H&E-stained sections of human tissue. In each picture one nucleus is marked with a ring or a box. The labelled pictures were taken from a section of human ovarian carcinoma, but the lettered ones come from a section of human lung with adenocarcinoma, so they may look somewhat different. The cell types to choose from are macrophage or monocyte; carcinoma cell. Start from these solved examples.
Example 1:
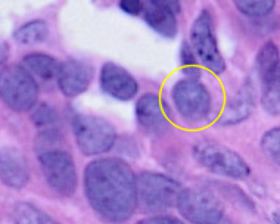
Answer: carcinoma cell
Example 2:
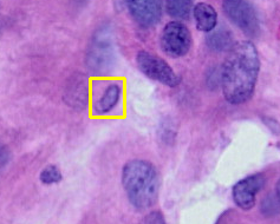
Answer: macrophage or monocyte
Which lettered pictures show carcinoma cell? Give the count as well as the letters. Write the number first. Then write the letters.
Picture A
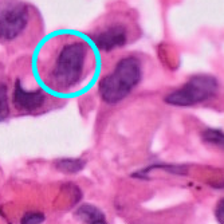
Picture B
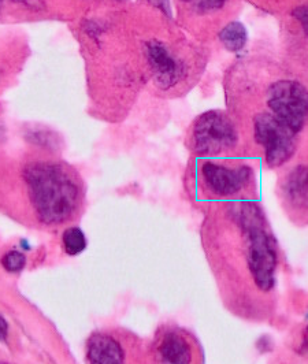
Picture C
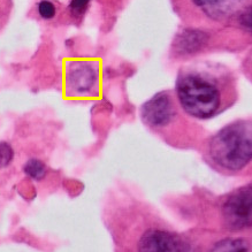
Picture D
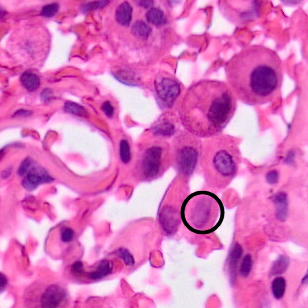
Count: 2 (A, B)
